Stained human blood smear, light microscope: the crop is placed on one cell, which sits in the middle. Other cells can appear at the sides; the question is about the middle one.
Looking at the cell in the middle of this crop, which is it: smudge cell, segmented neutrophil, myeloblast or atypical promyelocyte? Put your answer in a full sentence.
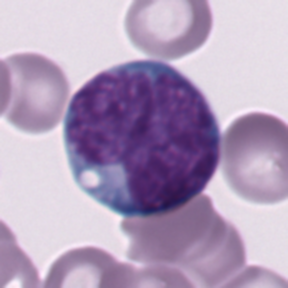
The cell at the centre of the field is a myeloblast.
